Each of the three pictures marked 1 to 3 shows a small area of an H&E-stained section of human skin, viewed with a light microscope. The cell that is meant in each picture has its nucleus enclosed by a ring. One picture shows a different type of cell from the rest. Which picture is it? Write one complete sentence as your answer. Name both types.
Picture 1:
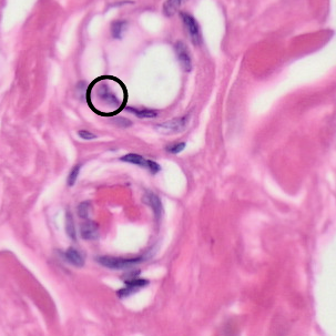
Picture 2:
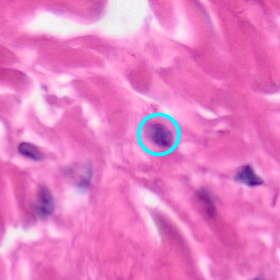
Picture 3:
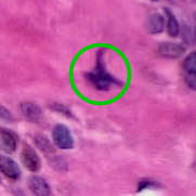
Picture 1 differs, because its cell is an endothelial cell and the rest are fibroblasts.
